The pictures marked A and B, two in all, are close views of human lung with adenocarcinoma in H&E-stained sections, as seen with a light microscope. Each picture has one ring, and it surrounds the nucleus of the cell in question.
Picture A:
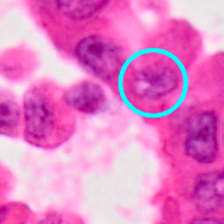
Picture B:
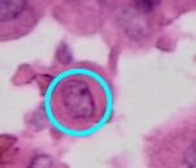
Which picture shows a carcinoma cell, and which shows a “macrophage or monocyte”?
A: carcinoma cell
B: macrophage or monocyte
